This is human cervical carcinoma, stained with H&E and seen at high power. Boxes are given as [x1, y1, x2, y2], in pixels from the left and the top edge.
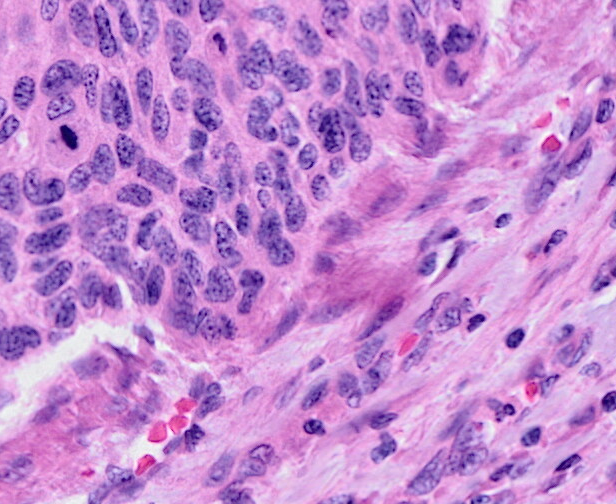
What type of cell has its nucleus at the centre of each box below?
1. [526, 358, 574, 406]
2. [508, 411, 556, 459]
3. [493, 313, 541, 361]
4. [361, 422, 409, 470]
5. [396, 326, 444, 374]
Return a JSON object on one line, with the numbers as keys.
{"1": "endothelial cell", "2": "lymphocyte", "3": "lymphocyte", "4": "lymphocyte", "5": "endothelial cell"}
